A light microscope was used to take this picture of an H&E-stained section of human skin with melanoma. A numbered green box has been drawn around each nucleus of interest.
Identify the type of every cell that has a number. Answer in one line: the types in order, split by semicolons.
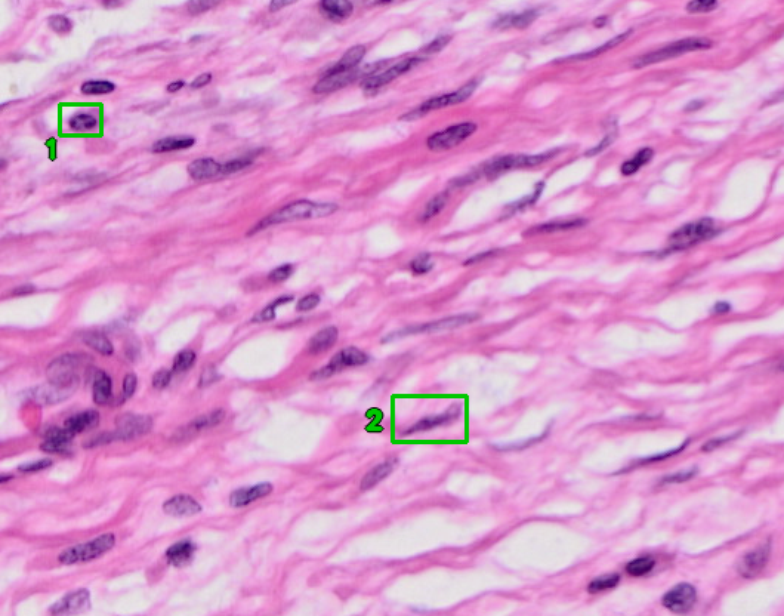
plasma cell; fibroblast or myofibroblast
